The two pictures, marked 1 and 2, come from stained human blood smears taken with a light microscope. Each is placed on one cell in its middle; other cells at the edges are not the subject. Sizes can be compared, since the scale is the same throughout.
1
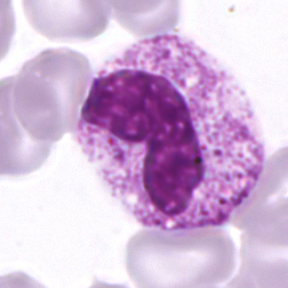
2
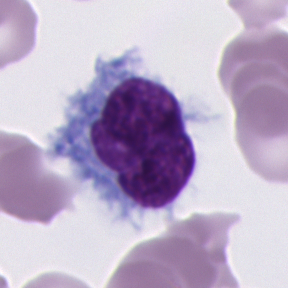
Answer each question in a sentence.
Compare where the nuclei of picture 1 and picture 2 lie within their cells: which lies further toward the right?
In picture 2 the nucleus is shifted more toward the right.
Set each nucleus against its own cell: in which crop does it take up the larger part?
Of the two, the nucleus in picture 2 makes up the greater part of its cell.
